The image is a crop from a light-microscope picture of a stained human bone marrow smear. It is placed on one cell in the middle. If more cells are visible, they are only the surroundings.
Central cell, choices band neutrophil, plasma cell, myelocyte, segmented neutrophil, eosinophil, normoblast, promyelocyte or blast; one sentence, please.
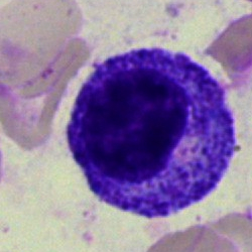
As for the central cell, it is a myelocyte.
